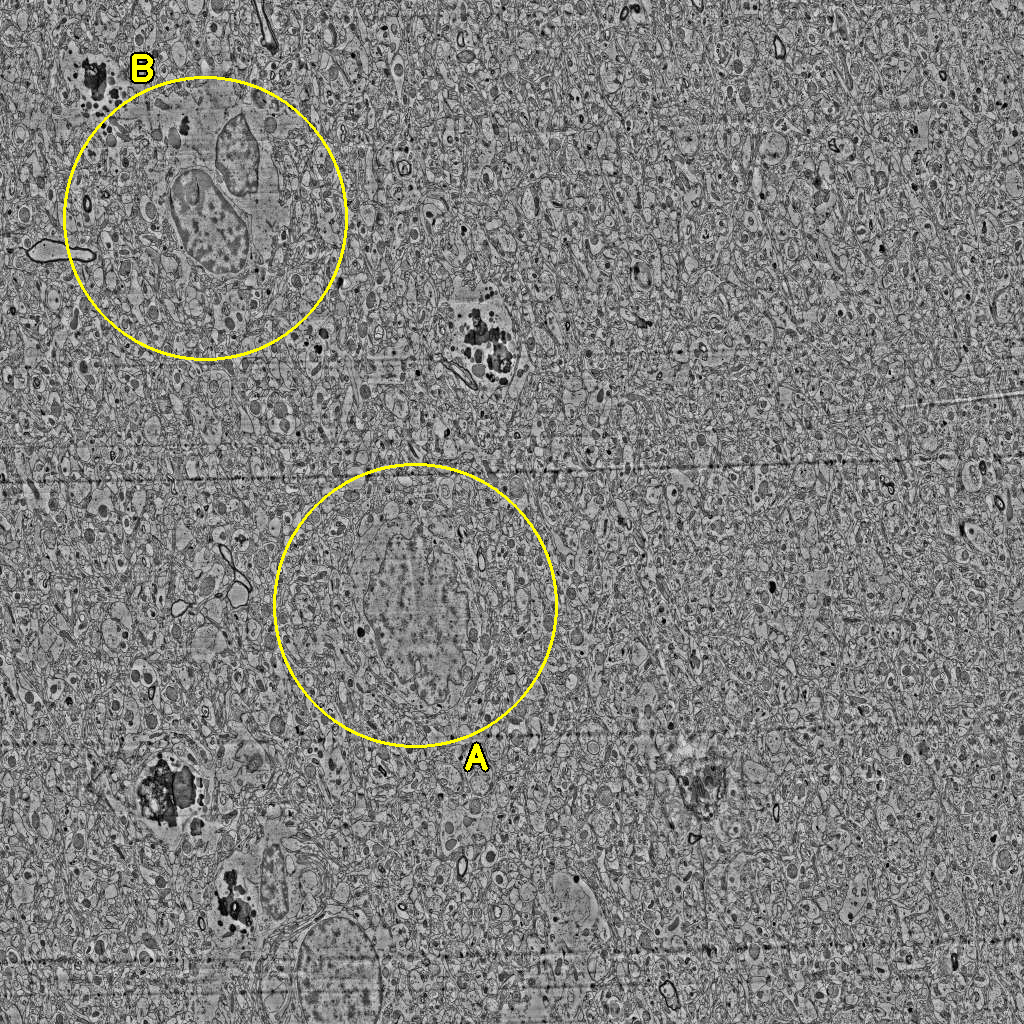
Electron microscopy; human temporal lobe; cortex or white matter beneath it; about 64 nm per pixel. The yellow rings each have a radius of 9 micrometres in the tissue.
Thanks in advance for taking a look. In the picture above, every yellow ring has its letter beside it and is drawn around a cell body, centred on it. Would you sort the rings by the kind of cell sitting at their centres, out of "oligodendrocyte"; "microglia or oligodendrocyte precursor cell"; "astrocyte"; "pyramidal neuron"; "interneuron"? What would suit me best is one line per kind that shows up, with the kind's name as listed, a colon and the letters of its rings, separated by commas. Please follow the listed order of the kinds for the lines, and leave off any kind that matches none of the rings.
microglia or oligodendrocyte precursor cell: B
interneuron: A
